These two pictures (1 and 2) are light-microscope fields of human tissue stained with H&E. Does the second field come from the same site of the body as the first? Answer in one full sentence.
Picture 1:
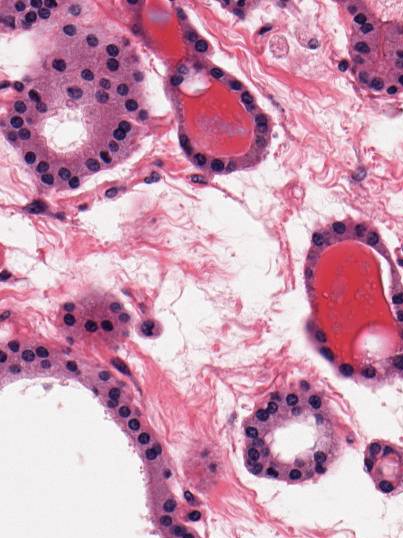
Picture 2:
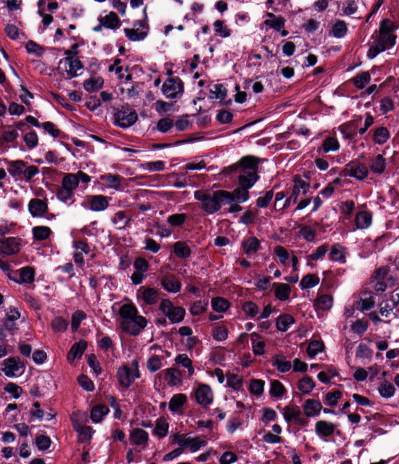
No. Picture 1 comes from the thyroid, whereas picture 2 comes from the testis.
